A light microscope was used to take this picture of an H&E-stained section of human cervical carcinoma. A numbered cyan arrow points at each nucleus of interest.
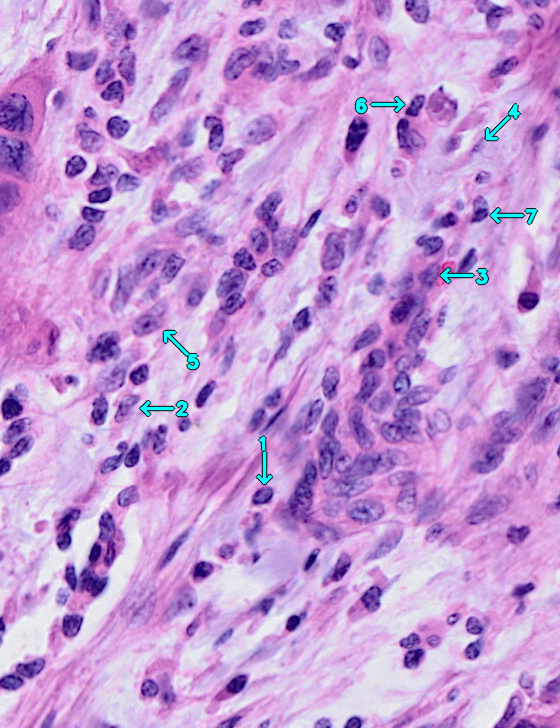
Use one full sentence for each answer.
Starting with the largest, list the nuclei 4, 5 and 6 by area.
Going from the biggest nucleus down to the smallest gives 5, 6, 4.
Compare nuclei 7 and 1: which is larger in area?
At about 1.5 times the area of nucleus 7, nucleus 1 is the larger of the two.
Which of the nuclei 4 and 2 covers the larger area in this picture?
The larger nucleus is 2, at roughly 2.5 times the area of 4.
